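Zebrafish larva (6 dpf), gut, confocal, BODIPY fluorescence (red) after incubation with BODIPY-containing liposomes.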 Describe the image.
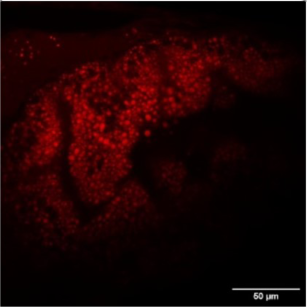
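The labelled tissue forms an irregular, folded band with darker clefts between brighter ridges. The red signal is made up of many small round puncta crowded together in the tissue. Areas outside the band, at the top and bottom of the image, are dark.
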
